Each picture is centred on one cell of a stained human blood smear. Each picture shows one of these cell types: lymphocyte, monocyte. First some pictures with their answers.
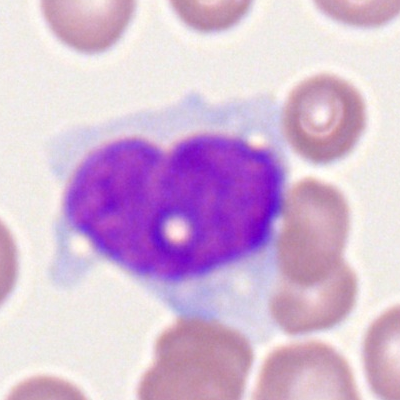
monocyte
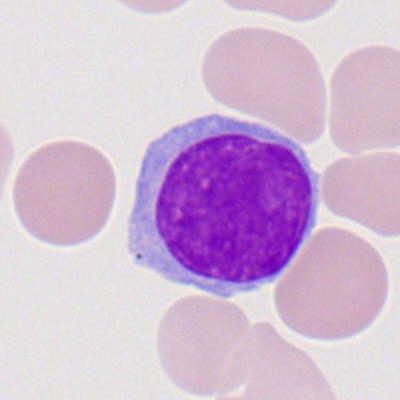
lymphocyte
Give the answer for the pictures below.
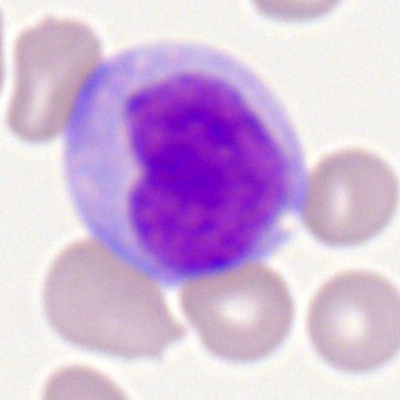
monocyte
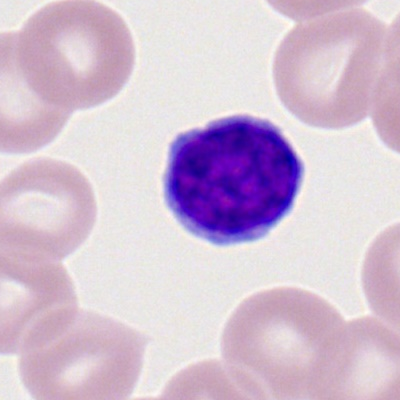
lymphocyte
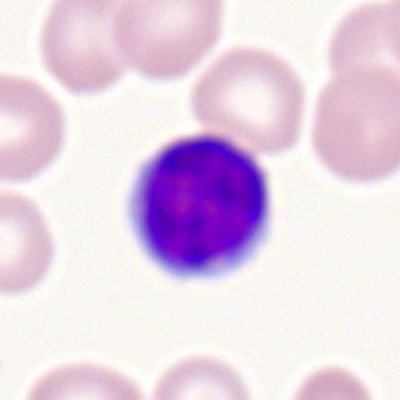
lymphocyte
